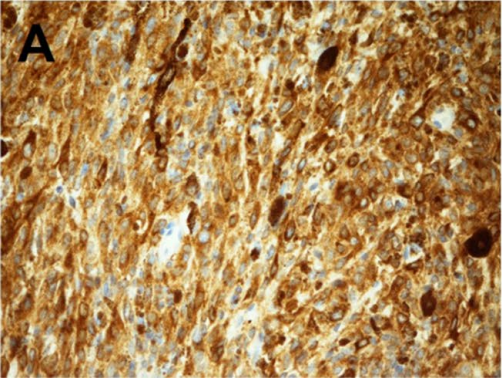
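Sheets of plump spindle cells with broad brown-stained cytoplasm and pale blue oval nuclei. Scattered rounded cells stain a deeper, dense brown among them.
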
